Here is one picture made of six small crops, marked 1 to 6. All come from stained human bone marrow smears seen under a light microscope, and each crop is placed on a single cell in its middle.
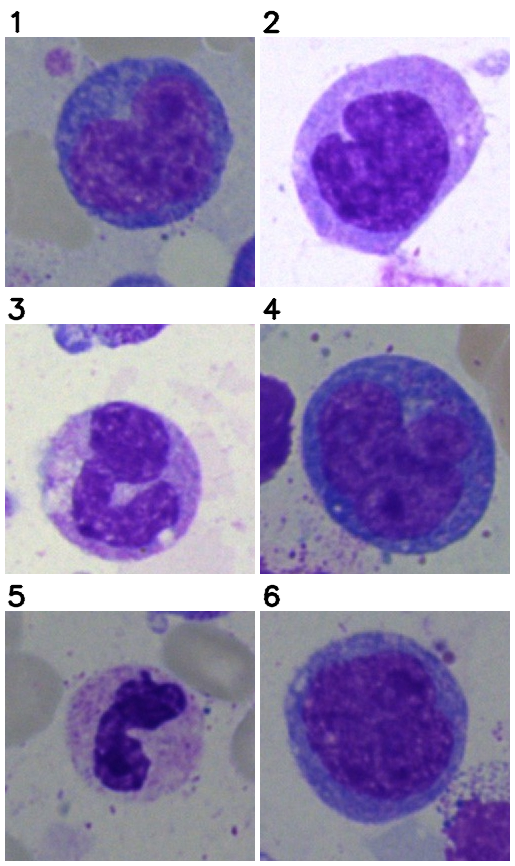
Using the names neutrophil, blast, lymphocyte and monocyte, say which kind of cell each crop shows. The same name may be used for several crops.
1: monocyte
2: monocyte
3: monocyte
4: blast
5: neutrophil
6: blast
